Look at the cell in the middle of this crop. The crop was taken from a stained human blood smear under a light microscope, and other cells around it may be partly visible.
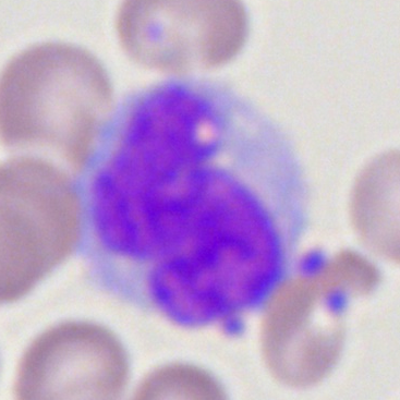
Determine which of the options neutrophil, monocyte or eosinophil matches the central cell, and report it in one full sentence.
In the crop, the cell of interest at the centre is a monocyte.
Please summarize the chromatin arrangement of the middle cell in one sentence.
The chromatin pattern is fine and free of coarse clumps.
